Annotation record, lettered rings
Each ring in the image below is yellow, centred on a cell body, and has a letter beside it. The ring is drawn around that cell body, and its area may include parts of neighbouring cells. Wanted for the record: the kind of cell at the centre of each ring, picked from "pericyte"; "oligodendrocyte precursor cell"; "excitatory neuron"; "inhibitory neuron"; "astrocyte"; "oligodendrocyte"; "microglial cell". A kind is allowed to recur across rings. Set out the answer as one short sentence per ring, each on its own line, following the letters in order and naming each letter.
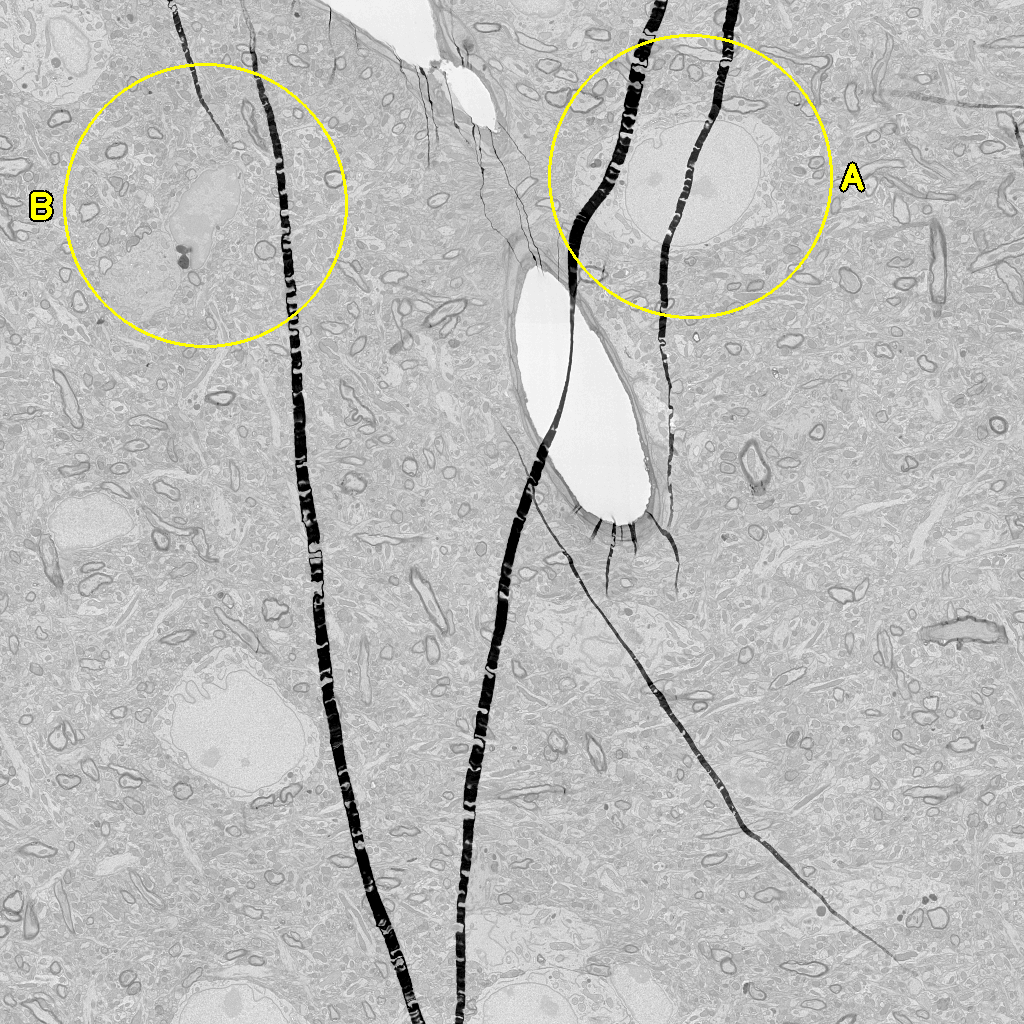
Ring A was drawn on an excitatory neuron.
Ring B was drawn on a microglial cell.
